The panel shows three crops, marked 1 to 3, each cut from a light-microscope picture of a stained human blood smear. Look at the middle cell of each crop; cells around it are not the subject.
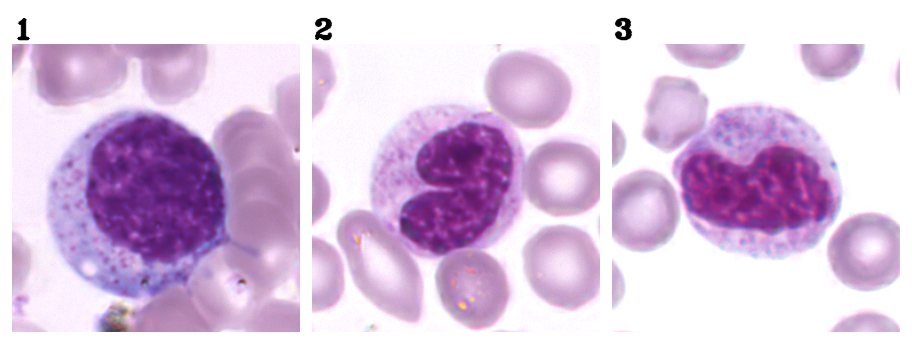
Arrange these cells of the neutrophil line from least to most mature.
1, 3, 2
